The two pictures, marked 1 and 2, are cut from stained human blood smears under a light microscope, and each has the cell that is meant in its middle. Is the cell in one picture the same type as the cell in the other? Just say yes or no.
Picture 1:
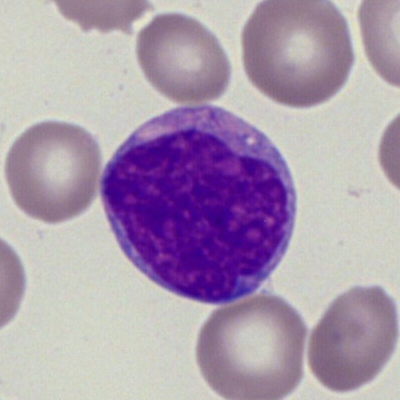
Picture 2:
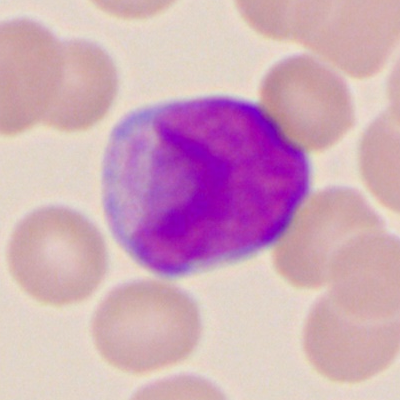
yes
